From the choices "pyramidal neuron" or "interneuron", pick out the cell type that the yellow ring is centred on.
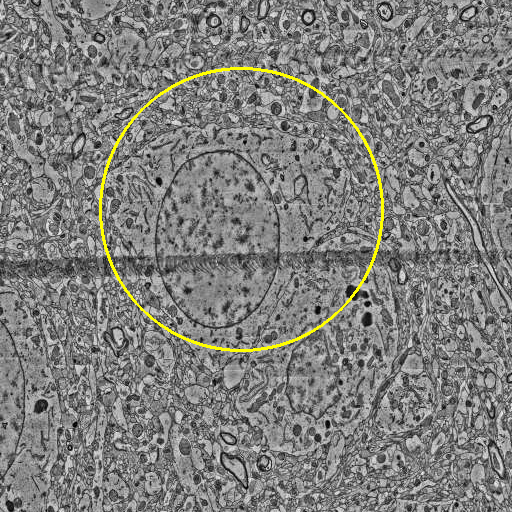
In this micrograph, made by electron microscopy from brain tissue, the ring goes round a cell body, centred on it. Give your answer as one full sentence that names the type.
The yellow ring is centred on a pyramidal neuron, whose cell body it encircles in the picture.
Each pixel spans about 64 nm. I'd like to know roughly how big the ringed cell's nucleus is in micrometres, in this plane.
In this plane, the nucleus of the cell at the centre of the ring measures about 11 by 8 micrometres.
